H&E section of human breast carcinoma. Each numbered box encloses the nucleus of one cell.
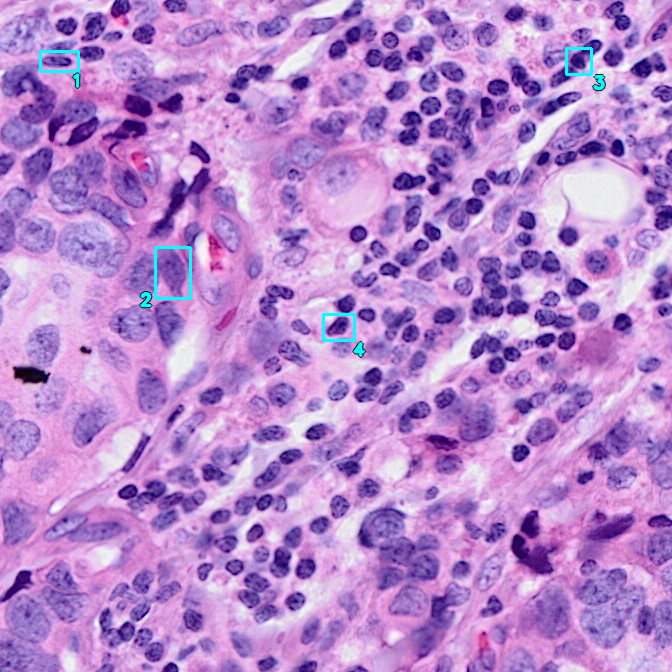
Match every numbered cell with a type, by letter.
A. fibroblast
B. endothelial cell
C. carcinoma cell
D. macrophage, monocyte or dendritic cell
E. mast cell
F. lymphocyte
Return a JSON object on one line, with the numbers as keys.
{"1": "F", "2": "C", "3": "F", "4": "F"}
